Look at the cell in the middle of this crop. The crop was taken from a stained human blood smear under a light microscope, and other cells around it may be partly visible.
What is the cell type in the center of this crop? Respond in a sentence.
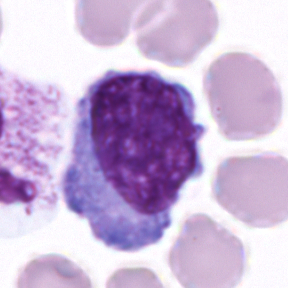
What the crop centres on is a plasma cell.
